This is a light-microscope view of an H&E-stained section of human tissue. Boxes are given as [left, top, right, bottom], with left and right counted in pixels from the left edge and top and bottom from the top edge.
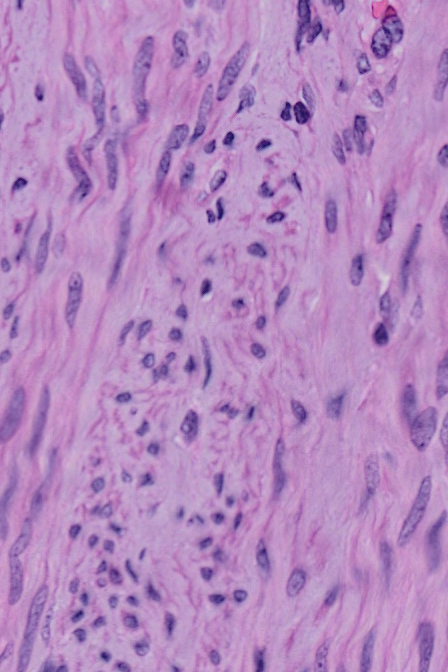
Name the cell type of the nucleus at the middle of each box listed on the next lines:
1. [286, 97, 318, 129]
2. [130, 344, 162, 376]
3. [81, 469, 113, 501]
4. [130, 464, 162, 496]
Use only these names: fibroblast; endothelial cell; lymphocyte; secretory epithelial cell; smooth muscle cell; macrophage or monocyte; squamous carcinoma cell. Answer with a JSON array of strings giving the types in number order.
["lymphocyte", "smooth muscle cell", "smooth muscle cell", "smooth muscle cell"]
